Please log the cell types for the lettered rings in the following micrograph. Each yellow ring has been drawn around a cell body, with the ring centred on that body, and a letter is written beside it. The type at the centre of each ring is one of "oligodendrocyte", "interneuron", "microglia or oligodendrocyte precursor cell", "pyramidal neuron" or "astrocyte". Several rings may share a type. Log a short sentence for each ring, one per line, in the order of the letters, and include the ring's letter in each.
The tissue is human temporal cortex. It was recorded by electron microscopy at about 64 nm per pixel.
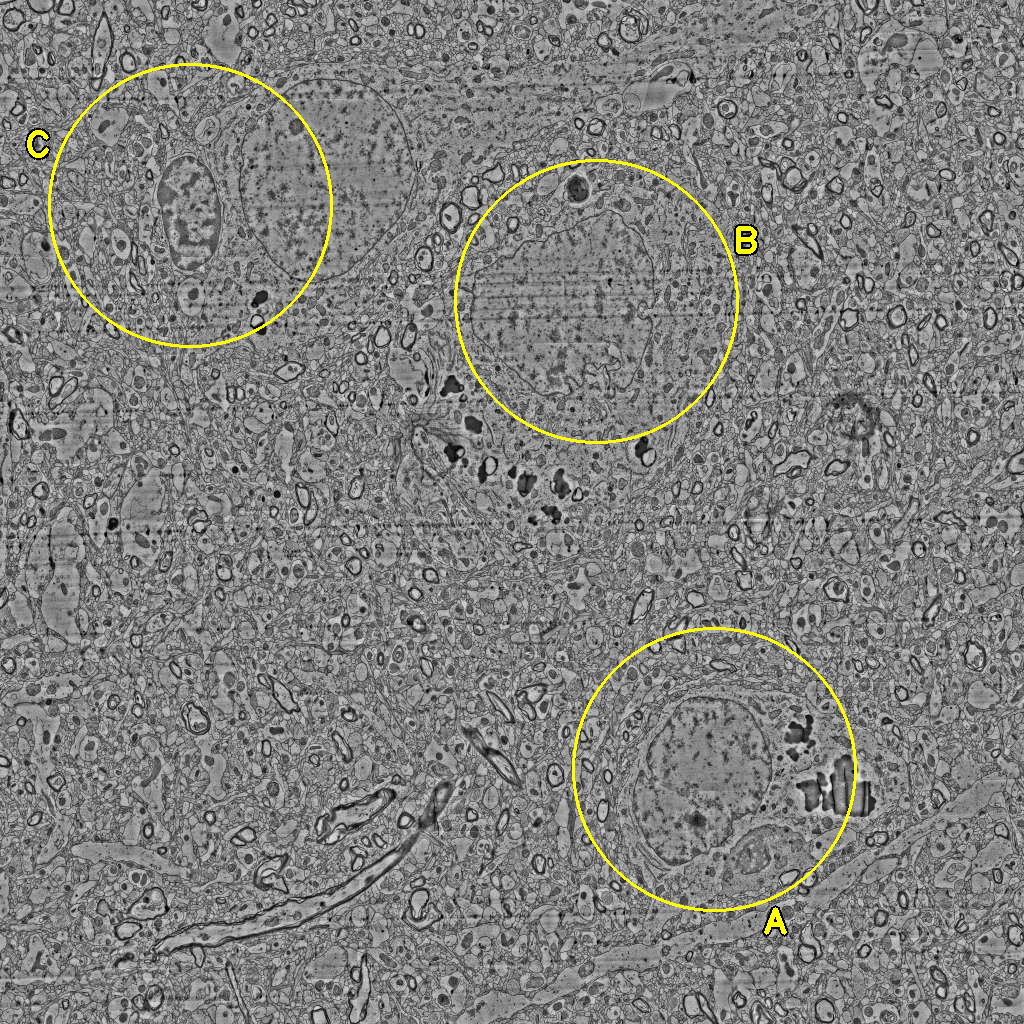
In ring A the central cell is an interneuron.
In ring B the central cell is a pyramidal neuron.
In ring C the central cell is a microglial cell or oligodendrocyte precursor cell.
